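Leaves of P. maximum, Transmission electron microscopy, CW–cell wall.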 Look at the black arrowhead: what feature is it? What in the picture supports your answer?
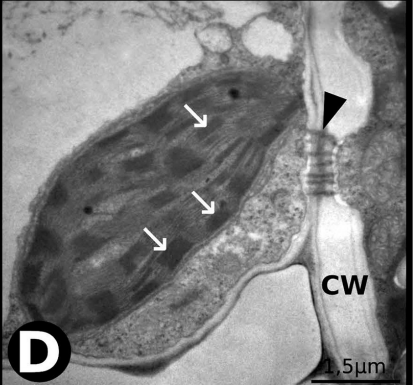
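The arrowhead points to a thin part of the cell wall crossed by several narrow channels. The wall on either side of that spot is thicker. The answer: plasmodesmata.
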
